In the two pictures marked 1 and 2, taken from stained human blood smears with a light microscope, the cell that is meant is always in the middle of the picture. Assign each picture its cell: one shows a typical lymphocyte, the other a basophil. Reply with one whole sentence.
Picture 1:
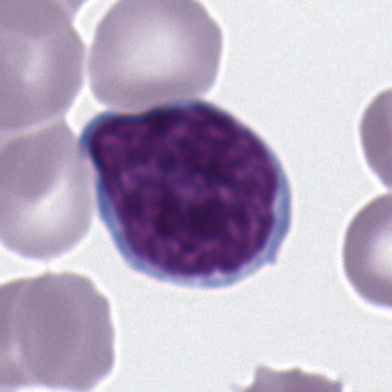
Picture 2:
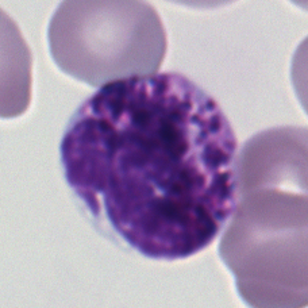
The cell in picture 1 is a typical lymphocyte, and the one in picture 2 is a basophil.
